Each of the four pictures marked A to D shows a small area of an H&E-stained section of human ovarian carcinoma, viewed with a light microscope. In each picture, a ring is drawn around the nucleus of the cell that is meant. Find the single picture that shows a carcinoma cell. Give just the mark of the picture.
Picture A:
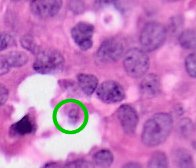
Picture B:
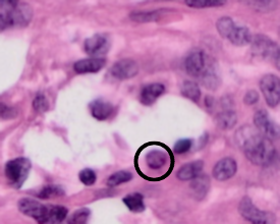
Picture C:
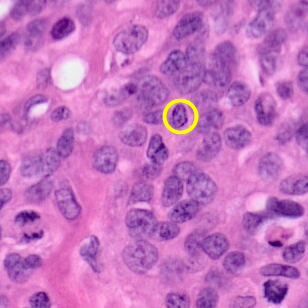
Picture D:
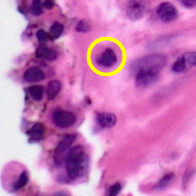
A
